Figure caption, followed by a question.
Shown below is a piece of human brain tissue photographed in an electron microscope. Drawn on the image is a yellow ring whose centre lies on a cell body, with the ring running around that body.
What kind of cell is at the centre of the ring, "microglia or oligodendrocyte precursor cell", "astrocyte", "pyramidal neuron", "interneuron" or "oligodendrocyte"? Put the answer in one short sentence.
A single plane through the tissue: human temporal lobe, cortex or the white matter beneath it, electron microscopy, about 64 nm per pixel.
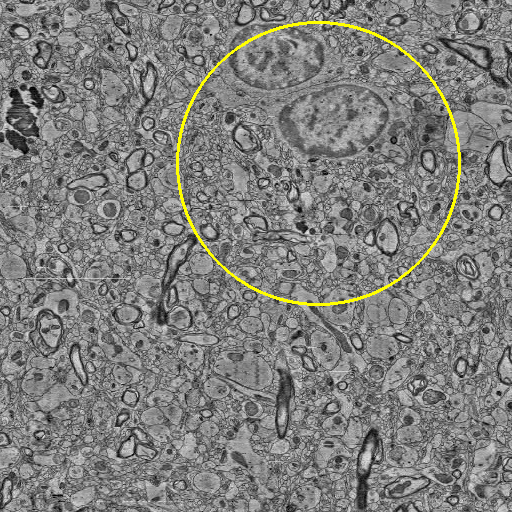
The ring marks the cell body of an oligodendrocyte.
